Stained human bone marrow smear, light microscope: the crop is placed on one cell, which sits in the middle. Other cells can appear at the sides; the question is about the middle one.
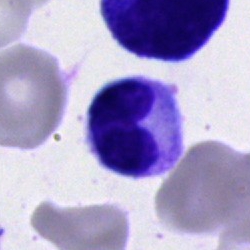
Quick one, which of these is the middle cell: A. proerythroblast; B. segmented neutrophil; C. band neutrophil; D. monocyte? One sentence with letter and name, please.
The cell at the centre, correctly named in option C, is a band neutrophil.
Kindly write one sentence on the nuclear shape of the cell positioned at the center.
What stands out is a nucleus forming one compact round, oval or kidney-shaped mass.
